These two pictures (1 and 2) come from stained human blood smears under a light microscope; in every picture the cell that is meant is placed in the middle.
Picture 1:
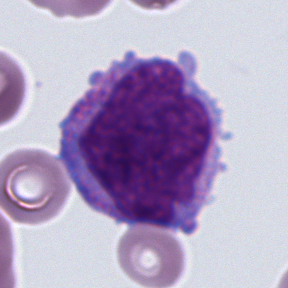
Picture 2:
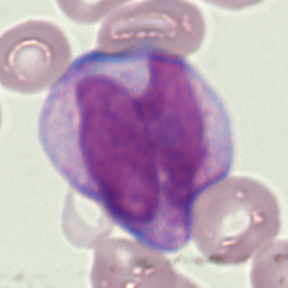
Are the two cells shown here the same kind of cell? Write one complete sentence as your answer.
Yes, they are the same type: both are atypical promyelocytes.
